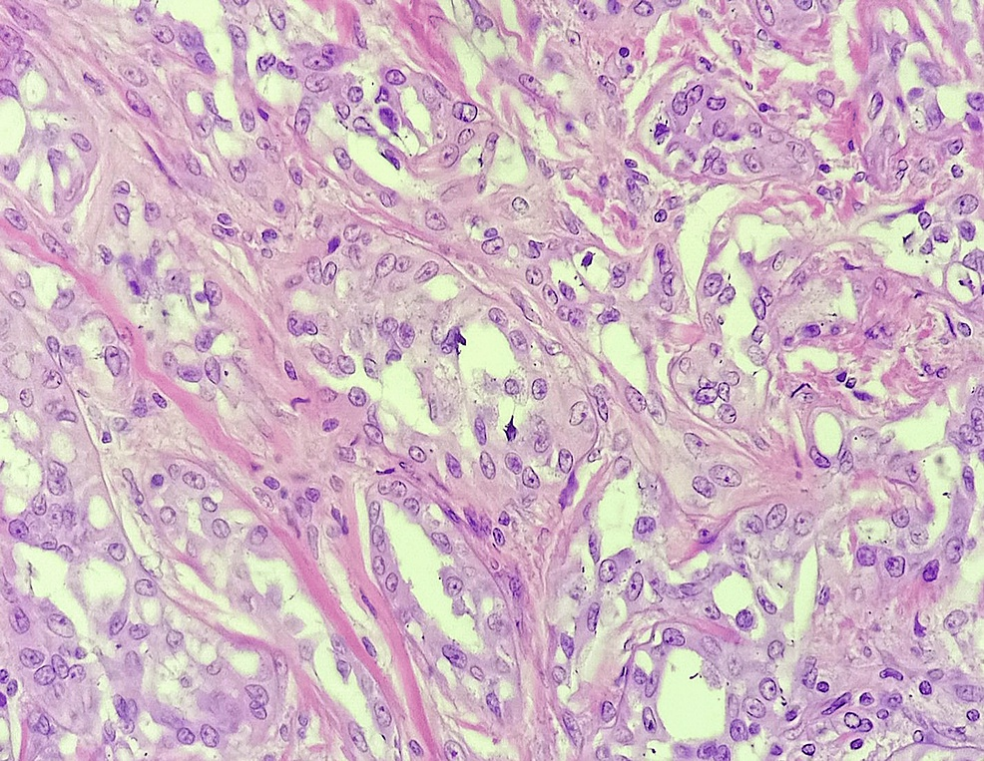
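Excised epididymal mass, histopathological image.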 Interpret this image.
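Many spaces of irregular, slit-like to rounded shape are lined by flattened to cuboidal cells, and other cells form solid strands between them. The cells have pale pink cytoplasm, often with clear vacuole-like spaces. Their nuclei are round to oval and fairly uniform, with fine chromatin and small nucleoli. Wavy bands of pink fibrous stroma run between the groups of tumour cells.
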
